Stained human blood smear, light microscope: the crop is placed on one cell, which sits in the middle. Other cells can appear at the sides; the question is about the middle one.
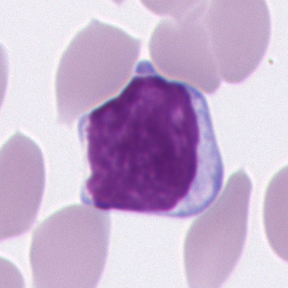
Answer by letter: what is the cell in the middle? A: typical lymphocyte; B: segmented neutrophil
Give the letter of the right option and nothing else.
A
